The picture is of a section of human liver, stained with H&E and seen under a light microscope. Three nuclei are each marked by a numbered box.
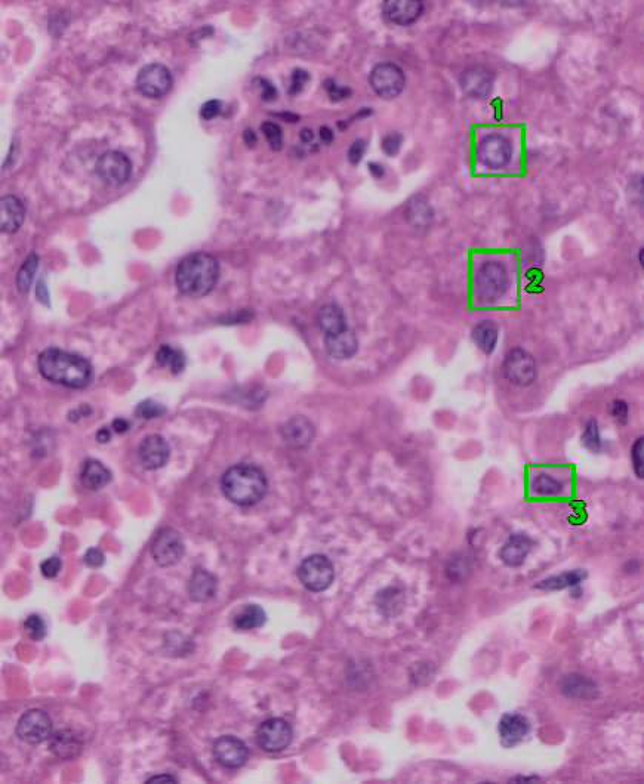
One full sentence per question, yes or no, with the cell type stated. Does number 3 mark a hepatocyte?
No, cell 3 is not a hepatocyte at all but a fibroblast or stellate cell.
